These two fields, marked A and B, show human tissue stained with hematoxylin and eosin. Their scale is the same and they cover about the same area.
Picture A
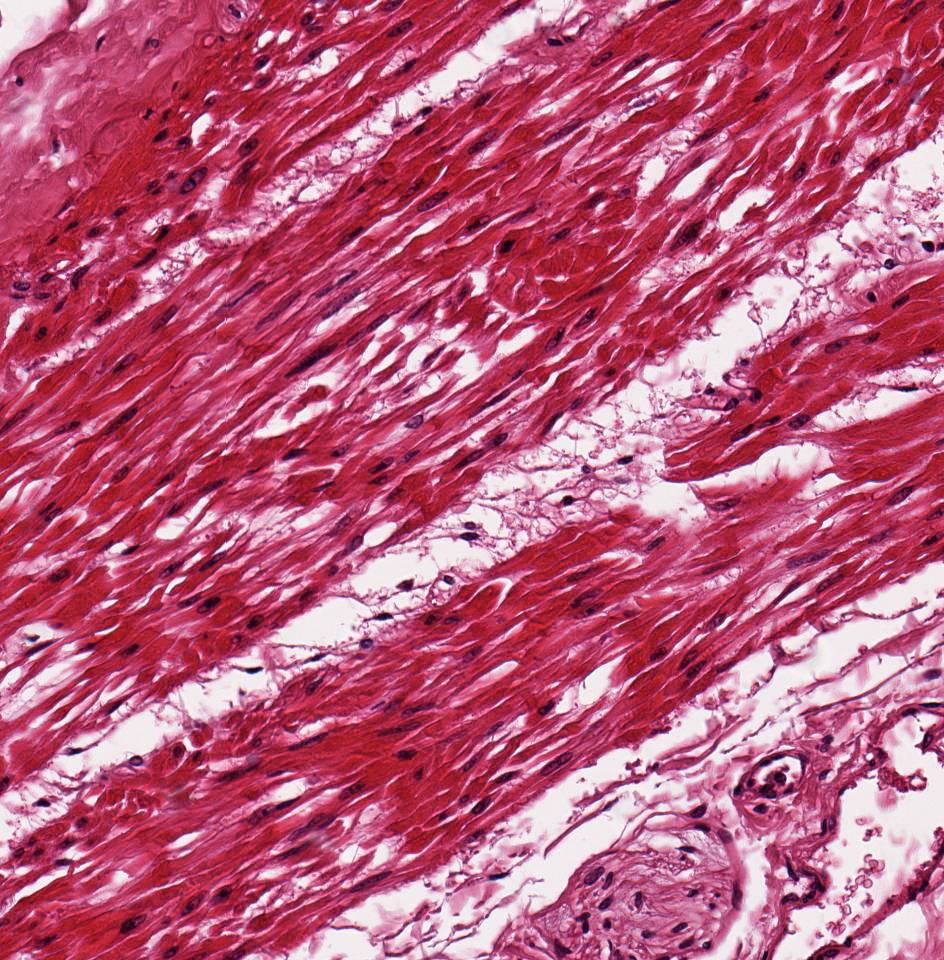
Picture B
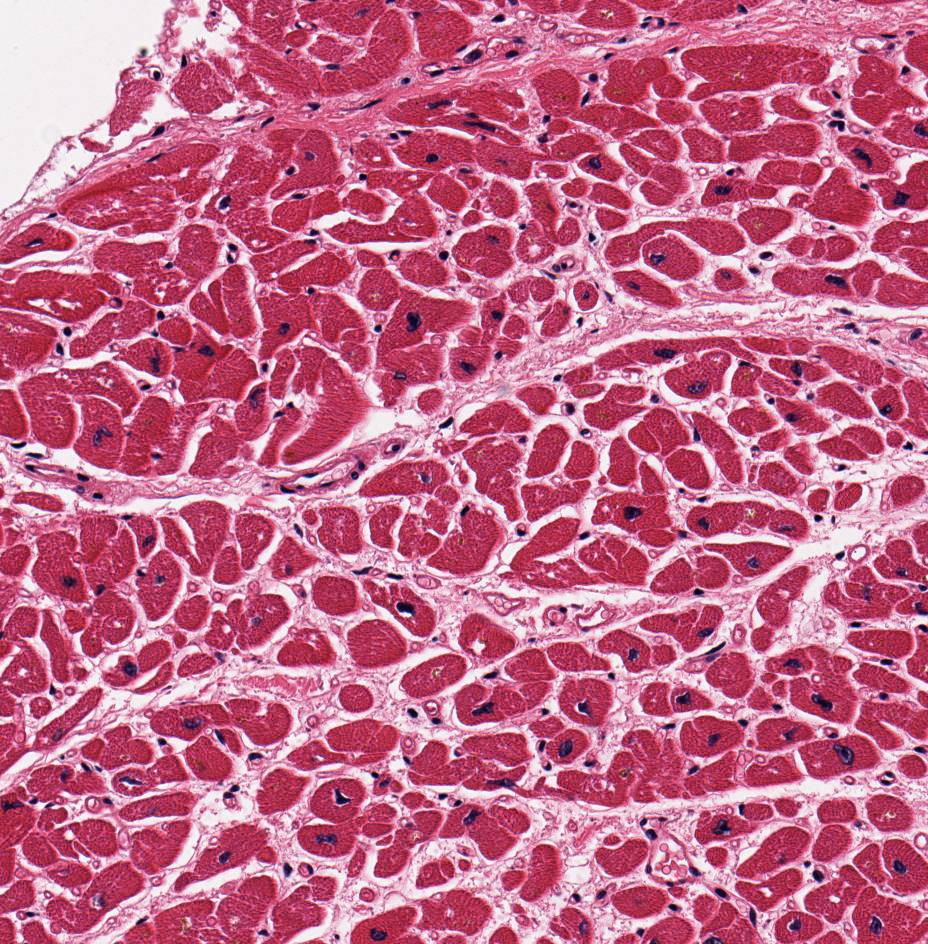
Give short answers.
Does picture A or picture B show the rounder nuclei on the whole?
B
